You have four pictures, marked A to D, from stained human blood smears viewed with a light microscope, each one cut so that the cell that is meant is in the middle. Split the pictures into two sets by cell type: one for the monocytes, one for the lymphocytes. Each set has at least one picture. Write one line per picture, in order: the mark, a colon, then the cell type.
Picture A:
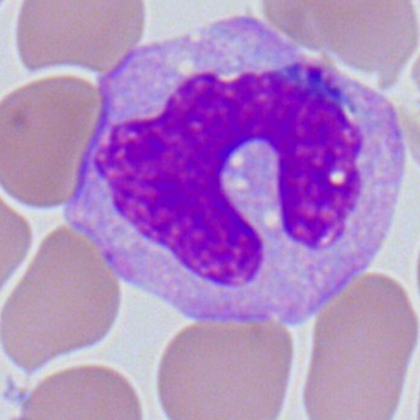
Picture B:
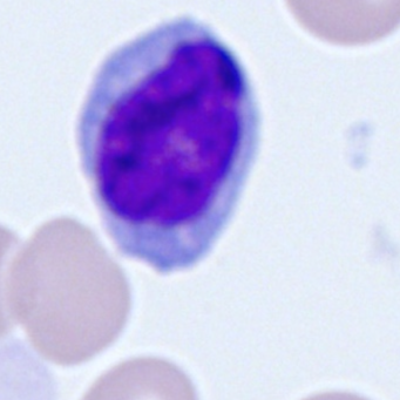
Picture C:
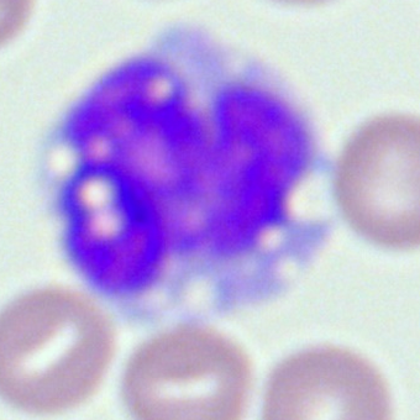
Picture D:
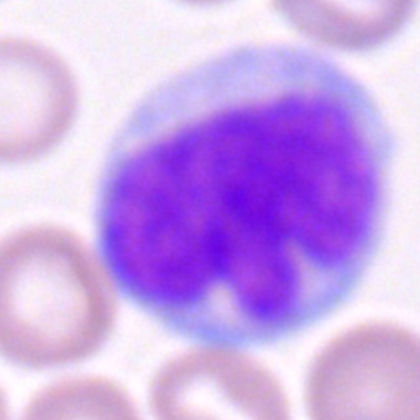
A: monocyte
B: lymphocyte
C: monocyte
D: monocyte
